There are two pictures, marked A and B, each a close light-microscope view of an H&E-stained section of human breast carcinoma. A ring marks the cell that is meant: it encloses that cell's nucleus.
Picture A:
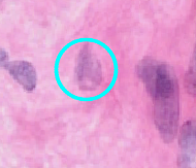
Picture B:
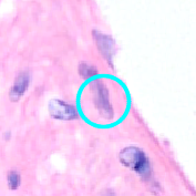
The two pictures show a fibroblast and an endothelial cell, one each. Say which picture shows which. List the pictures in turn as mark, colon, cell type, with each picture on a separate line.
A: fibroblast
B: endothelial cell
